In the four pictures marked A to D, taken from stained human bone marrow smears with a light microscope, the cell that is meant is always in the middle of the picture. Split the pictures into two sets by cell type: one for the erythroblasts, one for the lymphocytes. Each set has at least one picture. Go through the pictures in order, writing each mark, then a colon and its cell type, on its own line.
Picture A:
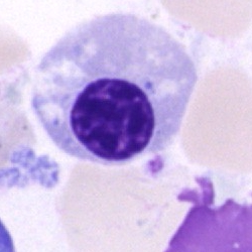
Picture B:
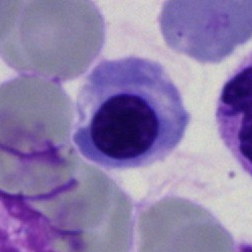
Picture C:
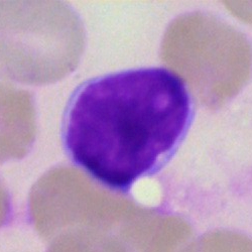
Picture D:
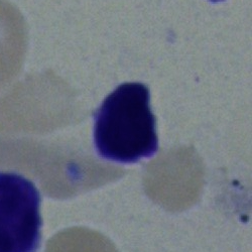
A: erythroblast
B: erythroblast
C: lymphocyte
D: lymphocyte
